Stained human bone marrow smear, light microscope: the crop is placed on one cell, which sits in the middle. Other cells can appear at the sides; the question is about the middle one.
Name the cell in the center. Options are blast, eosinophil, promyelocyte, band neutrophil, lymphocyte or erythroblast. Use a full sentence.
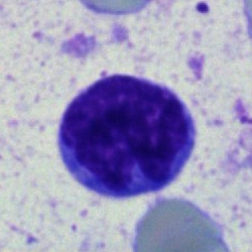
Answering briefly, the cell in the middle is a lymphocyte.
